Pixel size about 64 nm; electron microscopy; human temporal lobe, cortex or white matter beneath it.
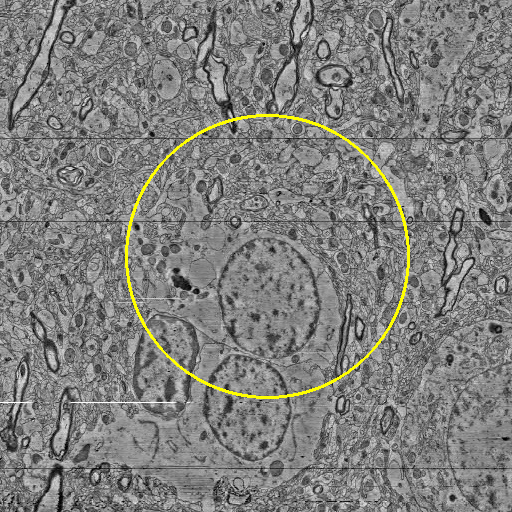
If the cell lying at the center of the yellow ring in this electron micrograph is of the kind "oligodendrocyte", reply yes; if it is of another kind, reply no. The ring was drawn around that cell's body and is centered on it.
no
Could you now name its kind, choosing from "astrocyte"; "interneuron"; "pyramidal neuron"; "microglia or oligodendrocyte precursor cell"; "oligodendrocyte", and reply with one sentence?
That cell in the ring is an astrocyte instead.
